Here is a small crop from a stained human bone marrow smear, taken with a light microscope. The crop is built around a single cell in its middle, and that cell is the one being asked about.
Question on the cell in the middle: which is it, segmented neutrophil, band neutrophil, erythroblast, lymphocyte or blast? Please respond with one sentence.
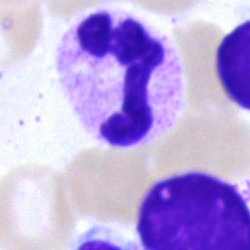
The middle of this crop is occupied by a segmented neutrophil.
